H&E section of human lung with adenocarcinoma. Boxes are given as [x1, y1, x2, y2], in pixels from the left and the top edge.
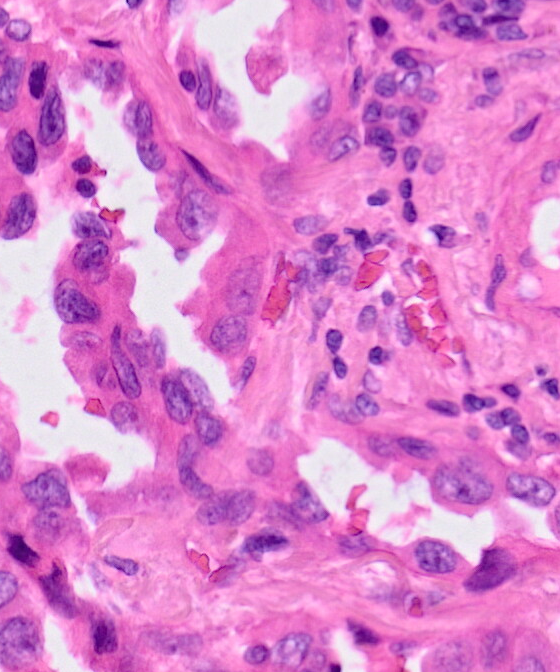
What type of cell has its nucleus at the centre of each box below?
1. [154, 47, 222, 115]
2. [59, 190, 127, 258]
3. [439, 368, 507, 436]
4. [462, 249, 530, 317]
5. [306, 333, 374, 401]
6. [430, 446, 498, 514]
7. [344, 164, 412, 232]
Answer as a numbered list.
1. lymphocyte
2. carcinoma cell
3. lymphocyte
4. smooth muscle cell or pericyte
5. lymphocyte
6. carcinoma cell
7. lymphocyte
